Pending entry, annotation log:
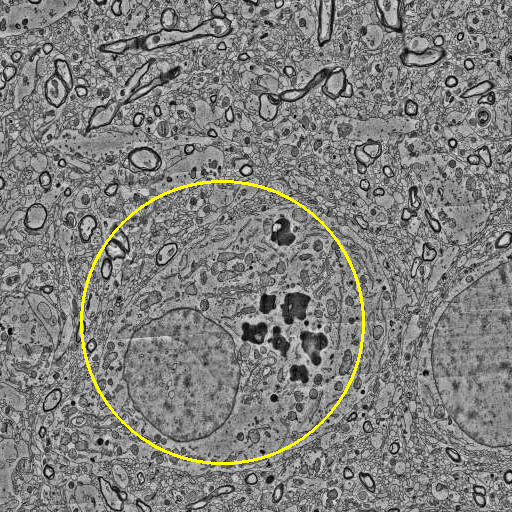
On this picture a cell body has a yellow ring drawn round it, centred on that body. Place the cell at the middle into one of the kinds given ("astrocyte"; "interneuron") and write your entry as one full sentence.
The cell body at the middle of the yellow ring belongs to an interneuron.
